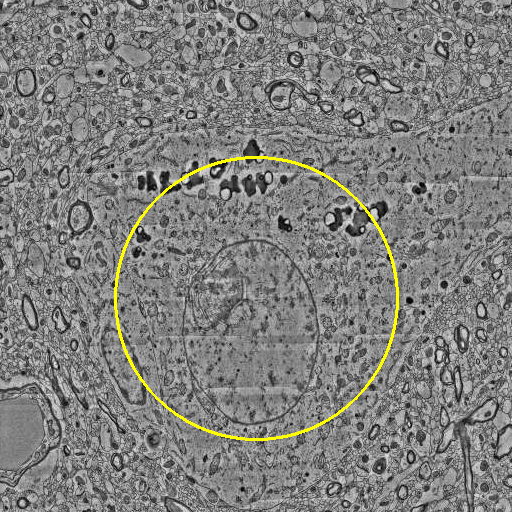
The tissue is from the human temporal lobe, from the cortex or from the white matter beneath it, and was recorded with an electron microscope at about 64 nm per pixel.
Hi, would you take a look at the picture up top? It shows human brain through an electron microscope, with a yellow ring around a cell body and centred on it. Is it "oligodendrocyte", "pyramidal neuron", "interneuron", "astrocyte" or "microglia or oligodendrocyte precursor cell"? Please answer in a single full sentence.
The best fit for the cell in the middle of the ring is a pyramidal neuron, I reckon.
